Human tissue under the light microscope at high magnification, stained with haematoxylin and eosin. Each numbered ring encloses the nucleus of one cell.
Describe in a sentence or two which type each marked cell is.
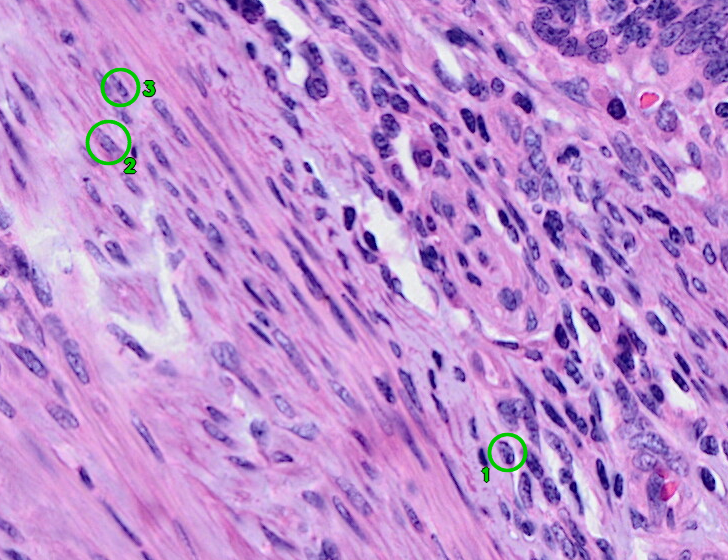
Cell 1 is a lymphocyte, cell 2 is a smooth muscle cell and cell 3 is a smooth muscle cell.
